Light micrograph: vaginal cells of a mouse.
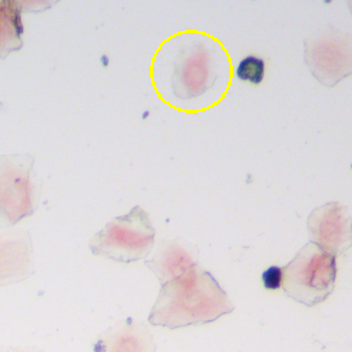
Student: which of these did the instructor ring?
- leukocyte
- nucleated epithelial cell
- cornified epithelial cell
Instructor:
The cell I ringed is a nucleated epithelial cell.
